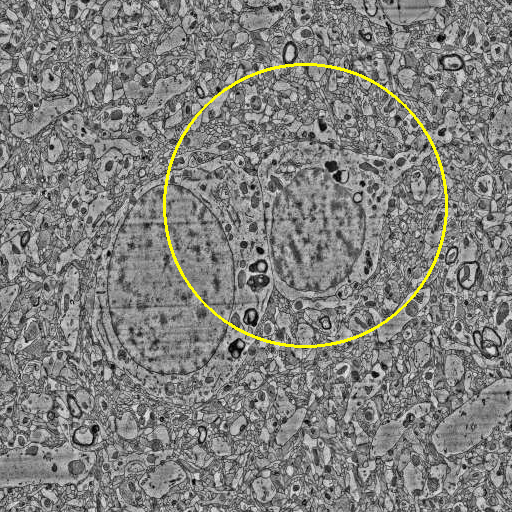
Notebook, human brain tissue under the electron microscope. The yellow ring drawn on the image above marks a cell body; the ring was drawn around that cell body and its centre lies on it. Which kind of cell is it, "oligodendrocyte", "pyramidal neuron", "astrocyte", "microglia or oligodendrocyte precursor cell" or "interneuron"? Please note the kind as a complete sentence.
The marked cell body is that of an interneuron.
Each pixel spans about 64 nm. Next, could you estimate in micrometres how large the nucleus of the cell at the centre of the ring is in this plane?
About 8 by 7 micrometers, in this plane.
